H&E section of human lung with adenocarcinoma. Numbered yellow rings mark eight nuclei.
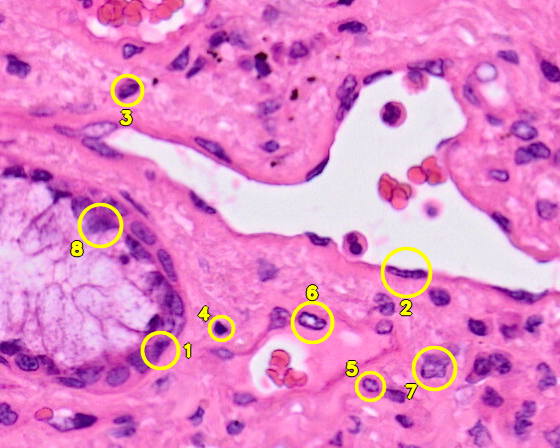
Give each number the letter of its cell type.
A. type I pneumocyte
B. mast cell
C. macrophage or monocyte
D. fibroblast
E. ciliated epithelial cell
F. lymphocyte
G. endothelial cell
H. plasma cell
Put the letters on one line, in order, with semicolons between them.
E; G; H; F; B; G; D; E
